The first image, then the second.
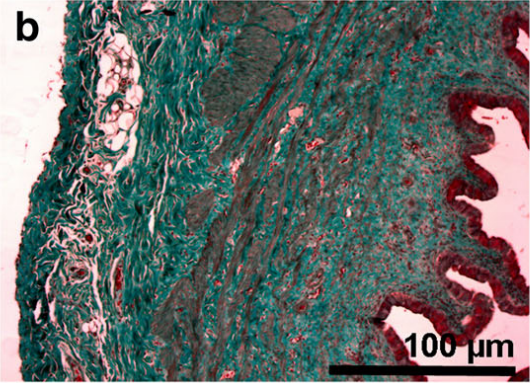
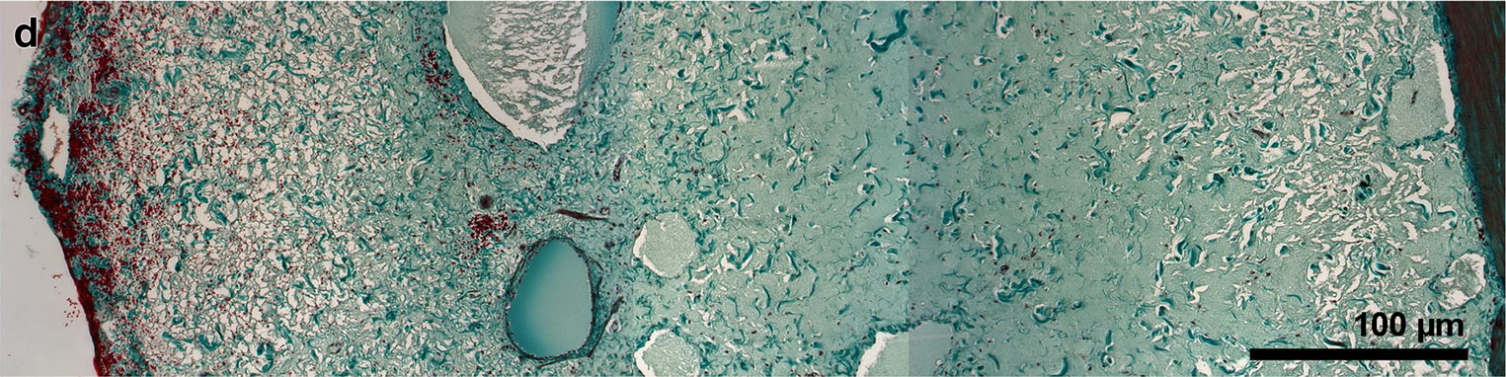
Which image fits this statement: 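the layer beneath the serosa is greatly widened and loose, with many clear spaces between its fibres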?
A: The second image.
